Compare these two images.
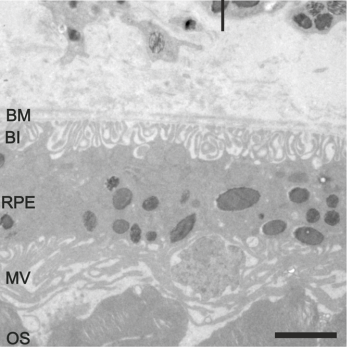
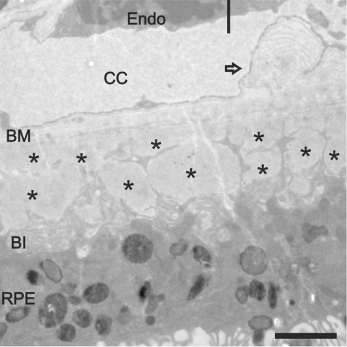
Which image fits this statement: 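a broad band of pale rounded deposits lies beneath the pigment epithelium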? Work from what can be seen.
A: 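The second image. Second image: large pale rounded masses separate the epithelium from the thin layered membrane. First image: the epithelium's base shows fine regular infoldings resting directly on the thin layered membrane.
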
